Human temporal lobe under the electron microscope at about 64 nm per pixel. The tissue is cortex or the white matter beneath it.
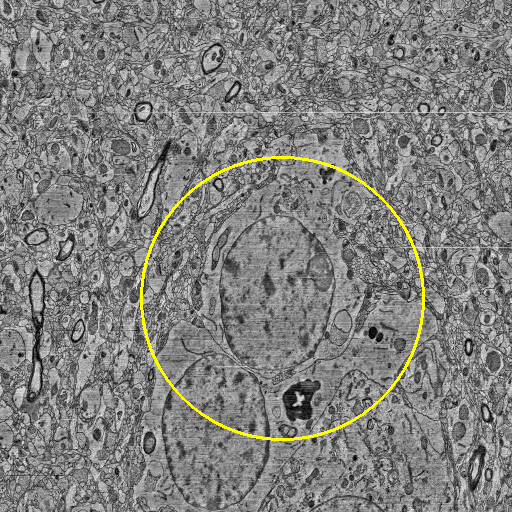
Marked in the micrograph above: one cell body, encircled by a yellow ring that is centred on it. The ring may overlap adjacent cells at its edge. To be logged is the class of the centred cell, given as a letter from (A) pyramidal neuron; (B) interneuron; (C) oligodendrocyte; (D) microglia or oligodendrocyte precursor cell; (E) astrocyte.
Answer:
E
